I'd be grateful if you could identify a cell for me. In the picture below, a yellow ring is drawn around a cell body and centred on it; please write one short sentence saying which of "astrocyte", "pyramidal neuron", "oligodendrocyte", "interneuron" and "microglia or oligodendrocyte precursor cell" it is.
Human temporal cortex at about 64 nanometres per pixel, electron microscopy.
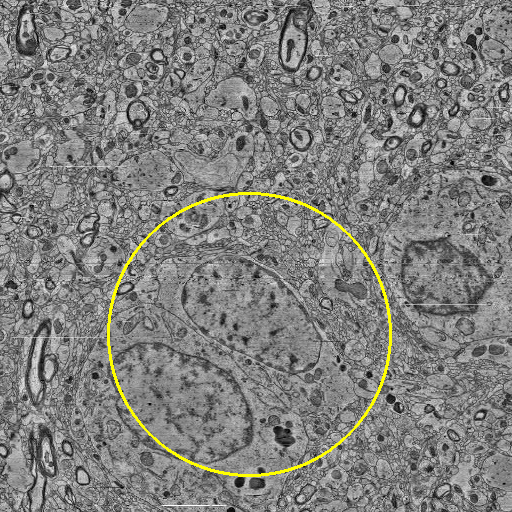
The cell under the ring's centre is a microglial cell or oligodendrocyte precursor cell.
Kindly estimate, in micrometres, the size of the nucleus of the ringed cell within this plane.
About 10 by 6 micrometres; in this plane the nucleus is clearly longer than it is wide.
